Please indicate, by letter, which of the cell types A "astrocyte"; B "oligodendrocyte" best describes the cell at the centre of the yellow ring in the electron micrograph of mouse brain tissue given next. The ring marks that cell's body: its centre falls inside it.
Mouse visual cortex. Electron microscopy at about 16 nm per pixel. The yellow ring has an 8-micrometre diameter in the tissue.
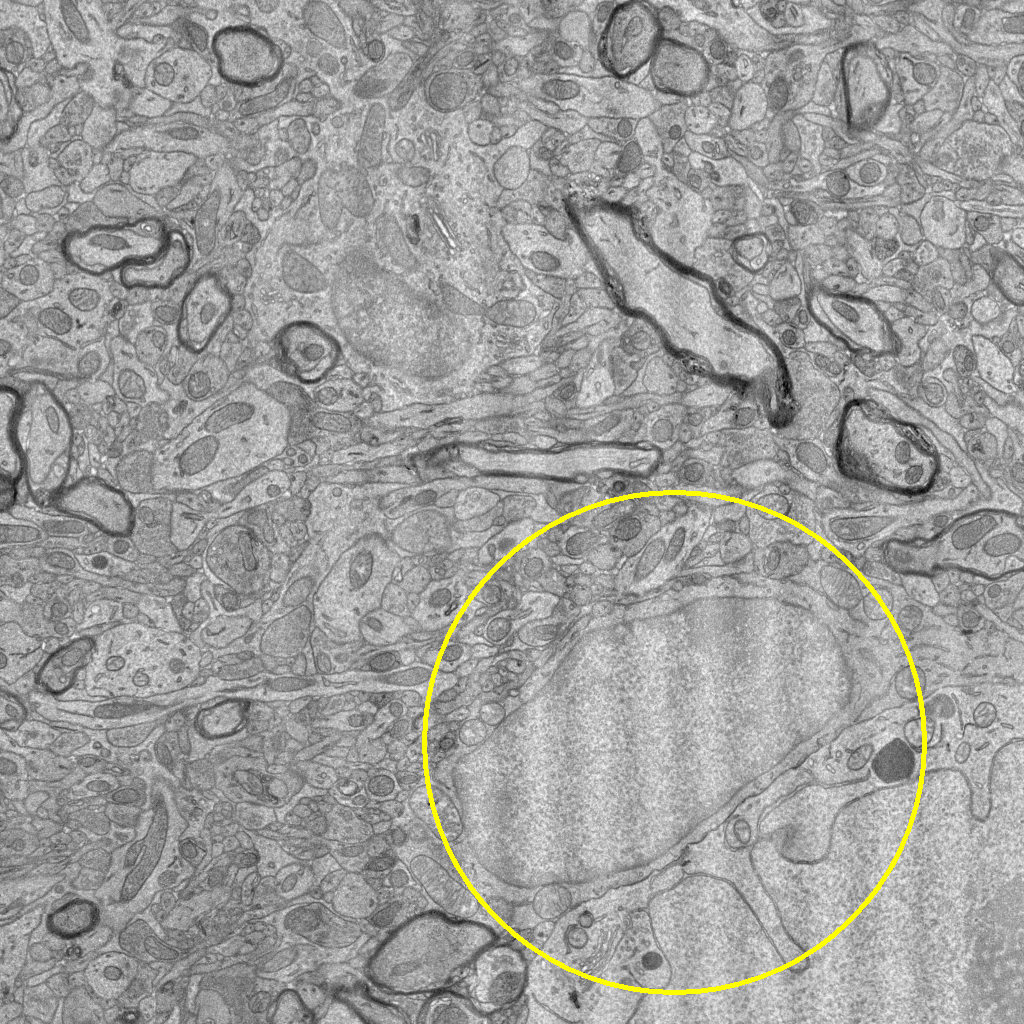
B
